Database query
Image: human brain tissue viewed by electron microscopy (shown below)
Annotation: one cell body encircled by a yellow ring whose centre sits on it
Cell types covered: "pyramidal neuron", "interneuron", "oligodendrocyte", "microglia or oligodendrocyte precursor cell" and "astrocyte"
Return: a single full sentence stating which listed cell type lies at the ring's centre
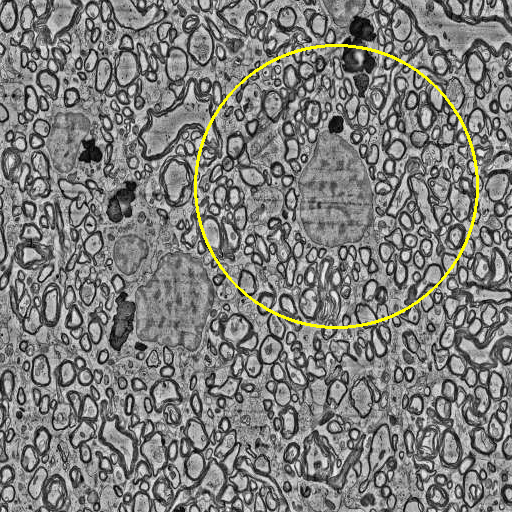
In the image, the cell lying at the ring's centre is an oligodendrocyte.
